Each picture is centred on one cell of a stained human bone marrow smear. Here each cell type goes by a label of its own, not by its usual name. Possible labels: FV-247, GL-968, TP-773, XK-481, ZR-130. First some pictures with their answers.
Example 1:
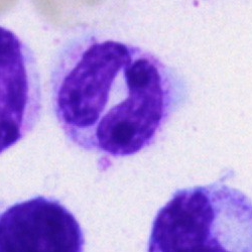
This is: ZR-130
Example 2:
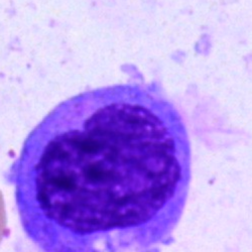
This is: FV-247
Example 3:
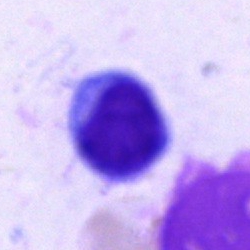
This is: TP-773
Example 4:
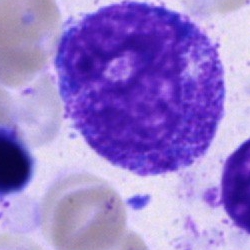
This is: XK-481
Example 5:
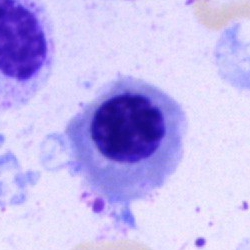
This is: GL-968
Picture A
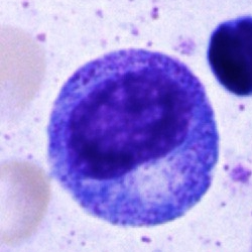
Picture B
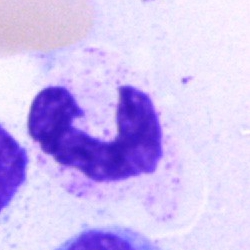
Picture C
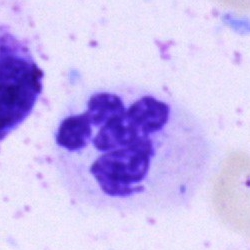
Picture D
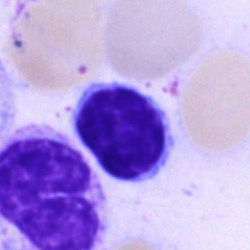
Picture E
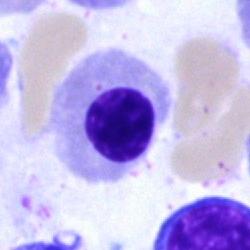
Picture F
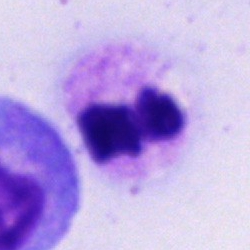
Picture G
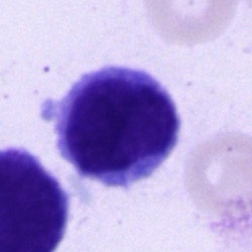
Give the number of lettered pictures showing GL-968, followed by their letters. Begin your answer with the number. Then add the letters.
1: E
